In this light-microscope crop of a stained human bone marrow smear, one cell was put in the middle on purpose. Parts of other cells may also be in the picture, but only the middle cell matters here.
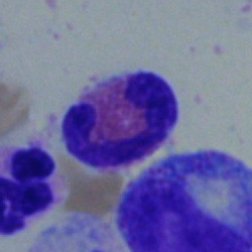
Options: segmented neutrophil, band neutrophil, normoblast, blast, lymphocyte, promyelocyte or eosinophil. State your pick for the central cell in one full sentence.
In the crop, the cell of interest at the centre is an eosinophil.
